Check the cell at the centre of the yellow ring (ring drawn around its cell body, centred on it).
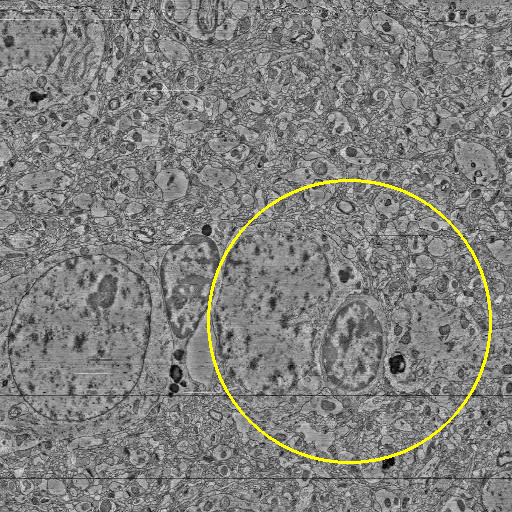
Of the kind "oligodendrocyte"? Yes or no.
yes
